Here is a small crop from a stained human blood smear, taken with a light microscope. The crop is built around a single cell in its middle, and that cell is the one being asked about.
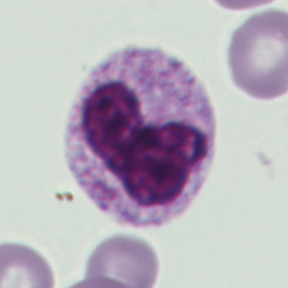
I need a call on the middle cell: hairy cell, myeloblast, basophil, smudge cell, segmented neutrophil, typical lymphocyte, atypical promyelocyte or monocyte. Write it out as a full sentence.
The crop shows a segmented neutrophil in its centre.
